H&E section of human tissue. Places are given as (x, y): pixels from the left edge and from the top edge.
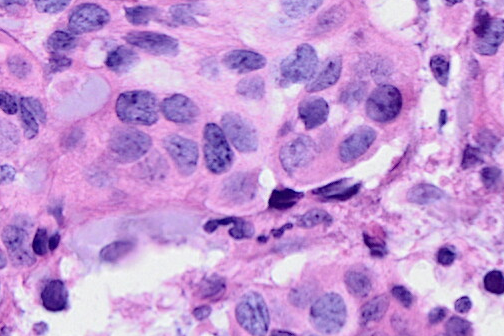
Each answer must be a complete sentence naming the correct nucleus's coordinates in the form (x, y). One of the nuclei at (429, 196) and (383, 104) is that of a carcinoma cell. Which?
The nucleus at position (383, 104) belongs to a carcinoma cell.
